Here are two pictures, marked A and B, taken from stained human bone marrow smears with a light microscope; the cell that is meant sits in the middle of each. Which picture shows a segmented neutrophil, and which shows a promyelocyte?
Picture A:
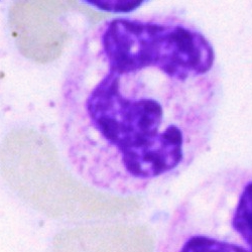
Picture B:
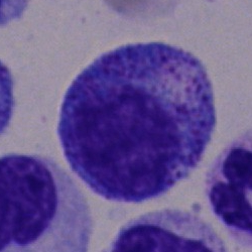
A: segmented neutrophil
B: promyelocyte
